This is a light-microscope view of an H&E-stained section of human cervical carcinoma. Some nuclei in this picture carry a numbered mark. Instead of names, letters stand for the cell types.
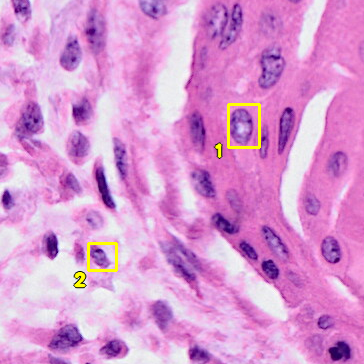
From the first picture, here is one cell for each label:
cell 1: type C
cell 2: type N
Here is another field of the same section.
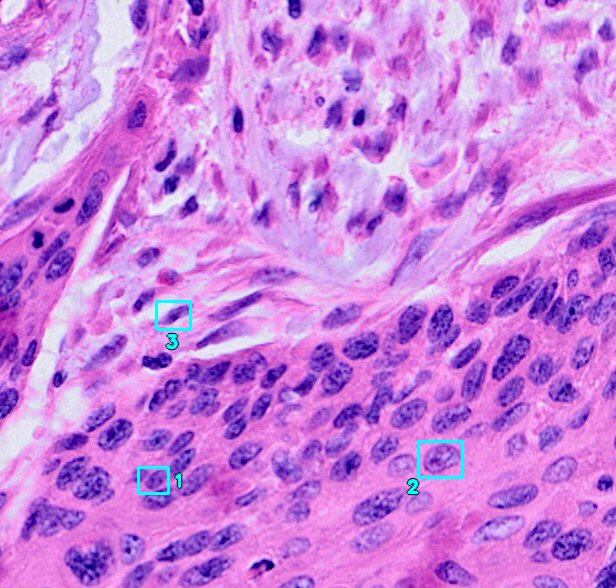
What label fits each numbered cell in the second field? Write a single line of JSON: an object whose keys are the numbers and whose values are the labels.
{"1": "type C", "2": "type C", "3": "type N"}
